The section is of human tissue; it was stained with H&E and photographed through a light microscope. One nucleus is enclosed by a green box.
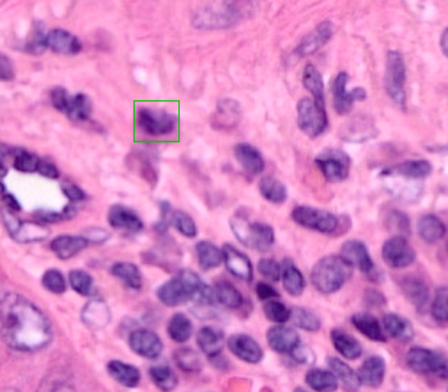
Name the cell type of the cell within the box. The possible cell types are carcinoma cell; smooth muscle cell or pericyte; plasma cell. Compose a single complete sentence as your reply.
Within the stained tissue, the cell within the box is a plasma cell.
